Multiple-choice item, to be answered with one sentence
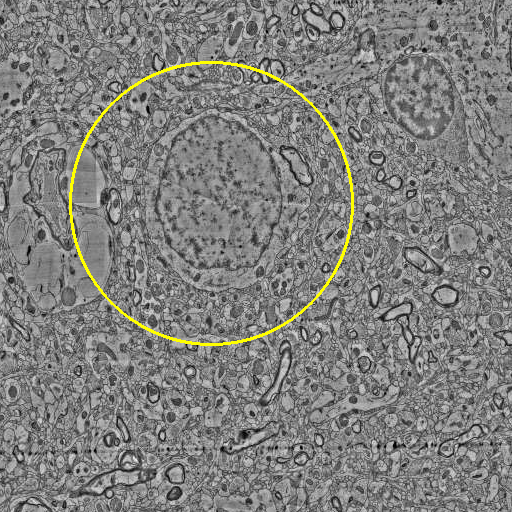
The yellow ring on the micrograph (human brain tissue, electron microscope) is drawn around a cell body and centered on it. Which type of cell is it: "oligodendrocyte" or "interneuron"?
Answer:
The ring is centered on an interneuron.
